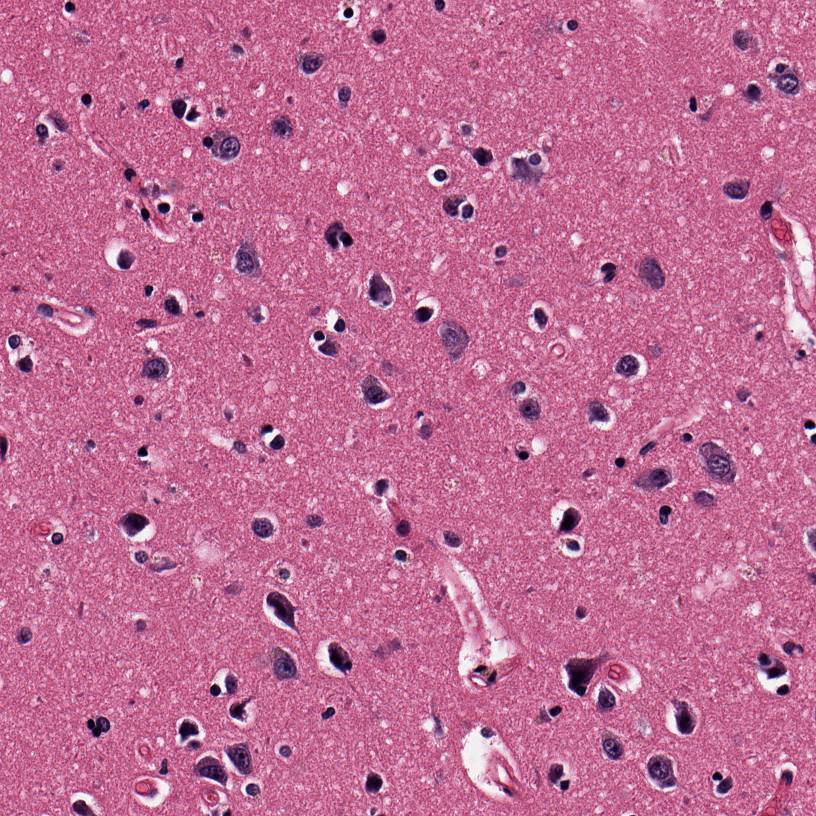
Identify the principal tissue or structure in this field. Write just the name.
cerebral cortex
